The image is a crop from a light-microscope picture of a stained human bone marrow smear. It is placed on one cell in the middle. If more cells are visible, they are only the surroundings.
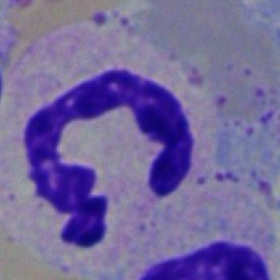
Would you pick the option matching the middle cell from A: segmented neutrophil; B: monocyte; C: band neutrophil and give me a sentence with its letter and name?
The centered cell is a segmented neutrophil, which is why option A is right.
